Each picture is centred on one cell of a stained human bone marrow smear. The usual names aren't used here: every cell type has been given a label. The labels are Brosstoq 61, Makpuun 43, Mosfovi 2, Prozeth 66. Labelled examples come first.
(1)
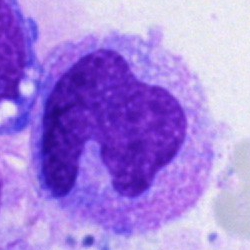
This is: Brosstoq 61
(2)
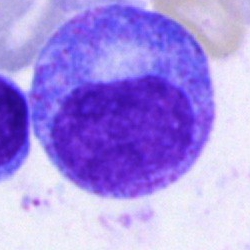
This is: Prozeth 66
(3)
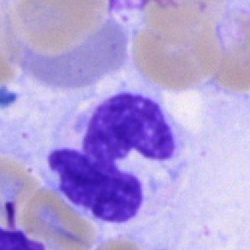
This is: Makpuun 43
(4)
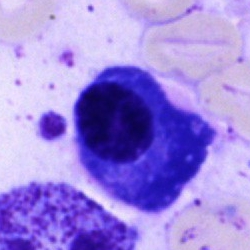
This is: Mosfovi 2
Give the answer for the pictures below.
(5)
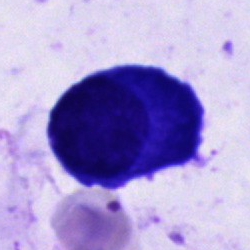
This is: Mosfovi 2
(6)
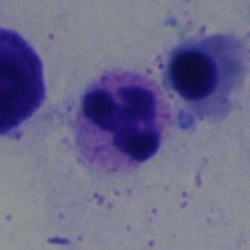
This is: Makpuun 43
